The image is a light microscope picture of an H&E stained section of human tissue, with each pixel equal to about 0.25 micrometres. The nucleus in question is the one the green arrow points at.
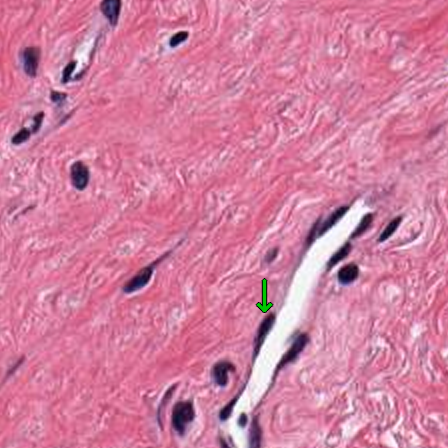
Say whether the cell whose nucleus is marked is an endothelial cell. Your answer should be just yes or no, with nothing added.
yes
